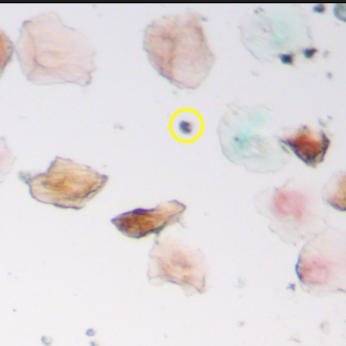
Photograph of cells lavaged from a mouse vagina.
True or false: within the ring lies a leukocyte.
True: a leukocyte lies within the ring.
